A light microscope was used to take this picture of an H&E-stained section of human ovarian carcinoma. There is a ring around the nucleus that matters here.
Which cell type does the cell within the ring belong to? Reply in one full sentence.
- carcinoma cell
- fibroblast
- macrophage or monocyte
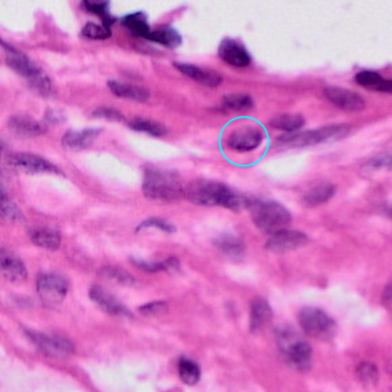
The cell type represented by the cell within the ring is that of a fibroblast.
